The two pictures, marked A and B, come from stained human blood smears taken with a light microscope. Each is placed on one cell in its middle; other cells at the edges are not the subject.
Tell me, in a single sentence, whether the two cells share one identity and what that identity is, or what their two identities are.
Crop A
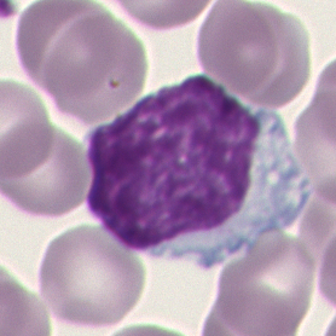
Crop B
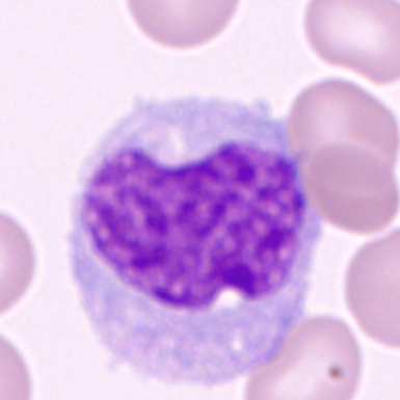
No, crop A offers a lymphocyte, while crop B offers a monocyte.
